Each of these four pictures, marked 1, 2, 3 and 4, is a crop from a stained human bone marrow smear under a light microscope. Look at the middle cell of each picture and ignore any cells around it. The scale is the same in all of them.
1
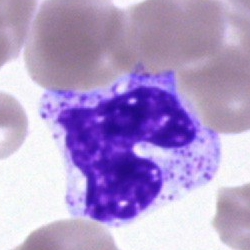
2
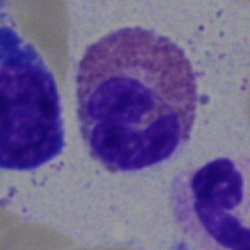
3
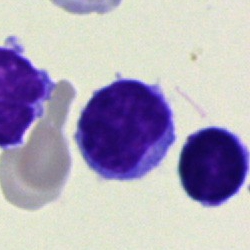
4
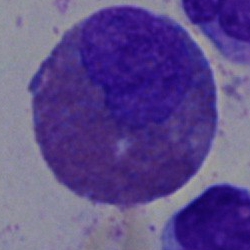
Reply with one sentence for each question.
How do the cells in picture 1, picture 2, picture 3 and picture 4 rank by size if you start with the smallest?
From the smallest up, the order is 3, 2, 1, 4.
